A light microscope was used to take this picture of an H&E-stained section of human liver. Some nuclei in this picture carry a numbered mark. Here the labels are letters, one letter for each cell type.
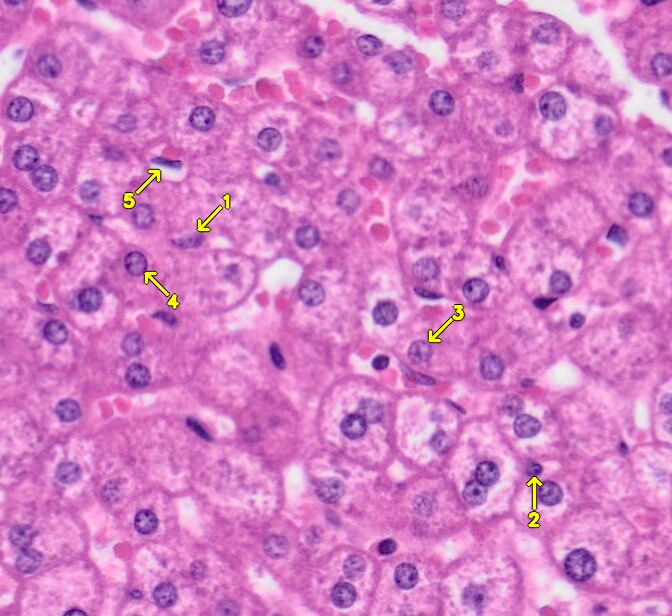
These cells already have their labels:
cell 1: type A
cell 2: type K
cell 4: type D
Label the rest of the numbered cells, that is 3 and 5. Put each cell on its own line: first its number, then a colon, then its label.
3: type D
5: type A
